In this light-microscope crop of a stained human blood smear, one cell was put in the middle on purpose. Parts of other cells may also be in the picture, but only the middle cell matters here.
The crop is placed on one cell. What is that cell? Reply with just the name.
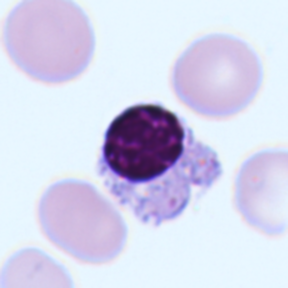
erythroblast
